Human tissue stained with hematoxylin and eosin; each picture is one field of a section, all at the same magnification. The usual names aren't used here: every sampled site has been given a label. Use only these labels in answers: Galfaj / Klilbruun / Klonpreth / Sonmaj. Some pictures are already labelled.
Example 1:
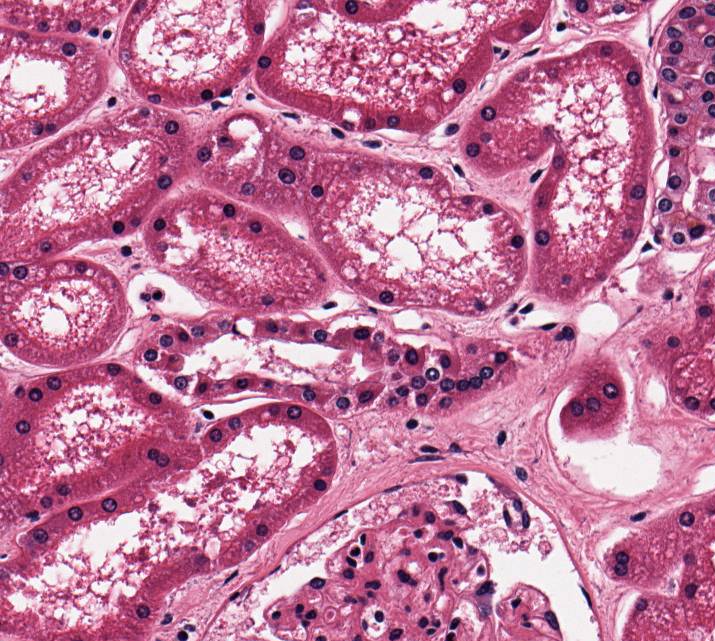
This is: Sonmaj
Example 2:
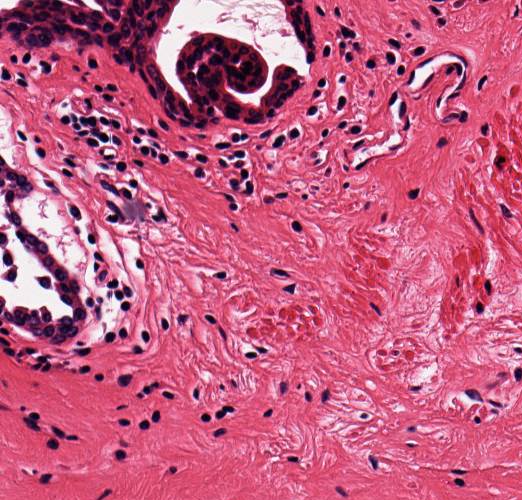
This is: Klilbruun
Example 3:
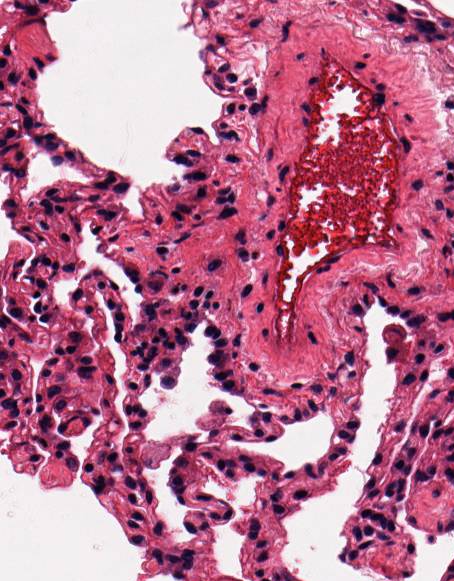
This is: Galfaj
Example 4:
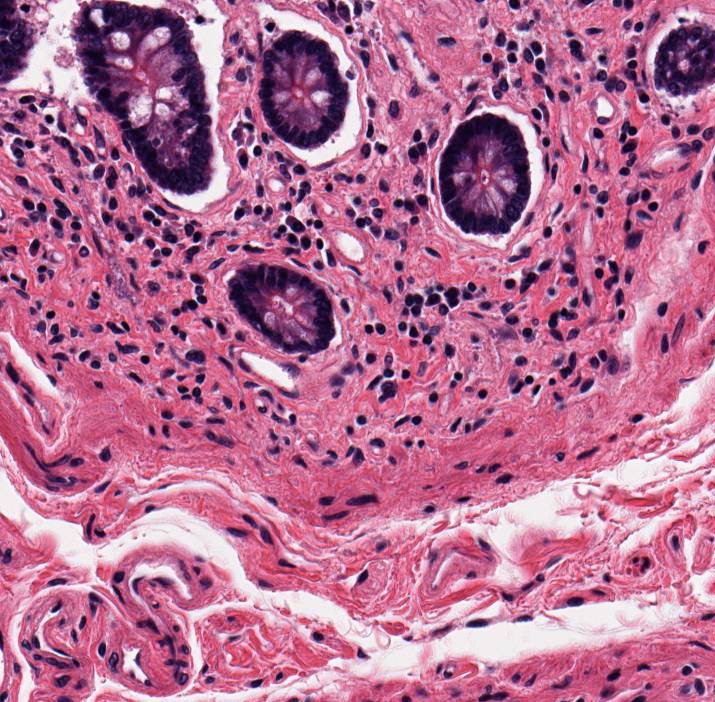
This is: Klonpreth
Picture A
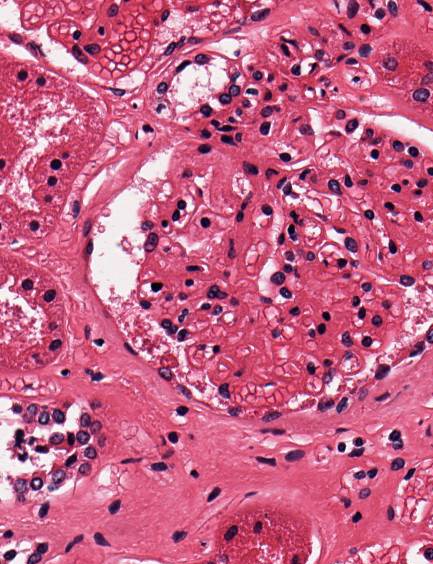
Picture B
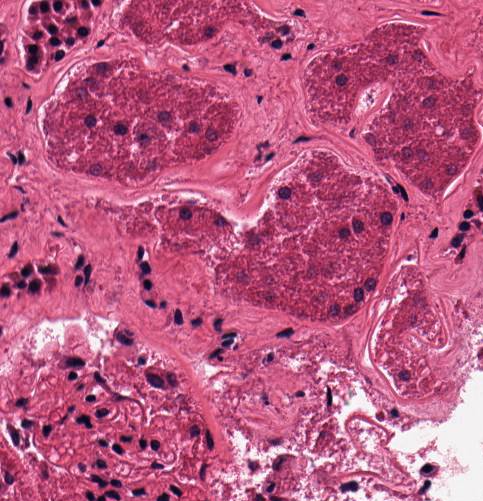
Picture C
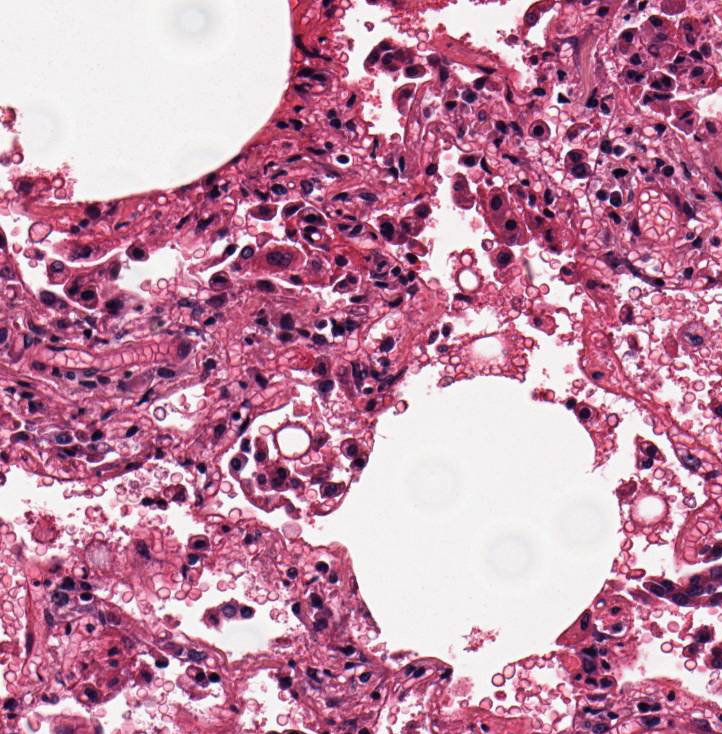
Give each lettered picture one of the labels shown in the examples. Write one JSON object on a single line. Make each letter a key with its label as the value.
{"A": "Sonmaj", "B": "Sonmaj", "C": "Galfaj"}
